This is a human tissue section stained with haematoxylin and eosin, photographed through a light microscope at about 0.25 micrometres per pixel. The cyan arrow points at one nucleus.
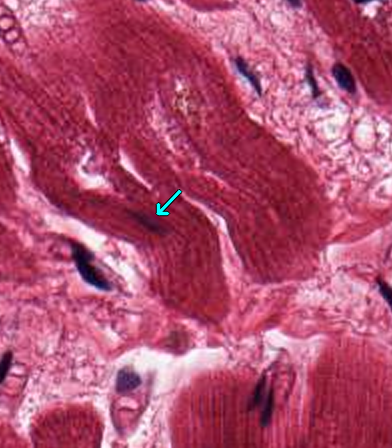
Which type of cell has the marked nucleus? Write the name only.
cardiomyocyte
